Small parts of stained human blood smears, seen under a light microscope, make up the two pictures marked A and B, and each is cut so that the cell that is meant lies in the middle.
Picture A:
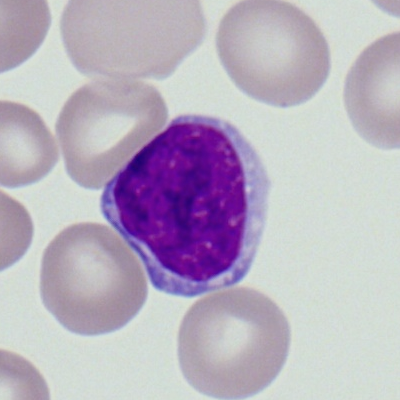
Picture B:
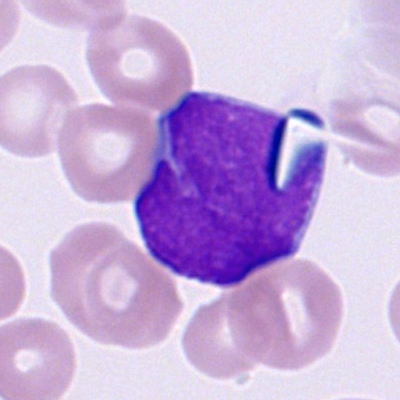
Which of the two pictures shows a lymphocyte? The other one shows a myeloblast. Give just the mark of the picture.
A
